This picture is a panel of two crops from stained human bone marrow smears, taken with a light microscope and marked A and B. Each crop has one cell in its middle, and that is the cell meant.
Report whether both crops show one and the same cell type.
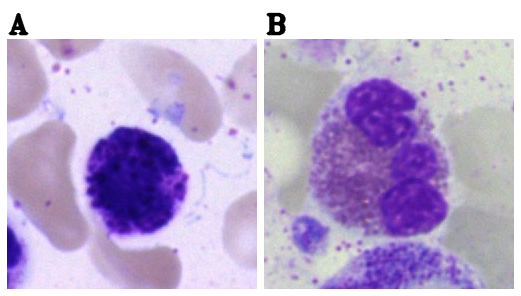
no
